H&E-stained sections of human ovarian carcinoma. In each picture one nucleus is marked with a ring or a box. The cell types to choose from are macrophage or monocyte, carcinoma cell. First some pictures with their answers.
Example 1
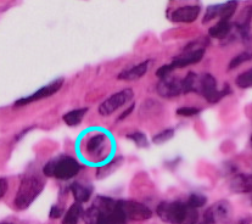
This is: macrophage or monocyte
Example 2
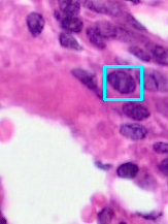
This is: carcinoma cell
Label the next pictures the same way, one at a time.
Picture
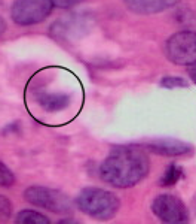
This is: macrophage or monocyte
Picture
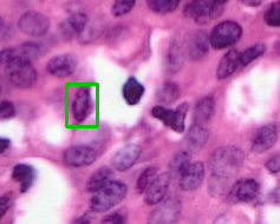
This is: carcinoma cell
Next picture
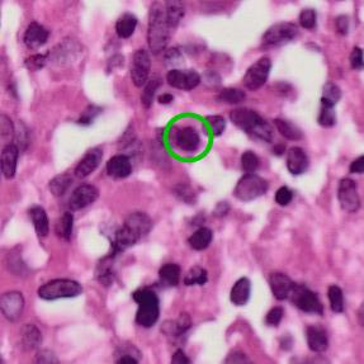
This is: carcinoma cell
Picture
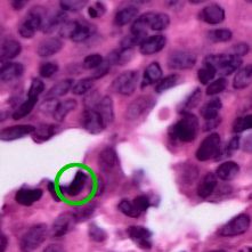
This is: carcinoma cell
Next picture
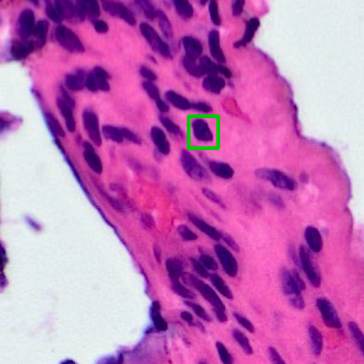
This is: macrophage or monocyte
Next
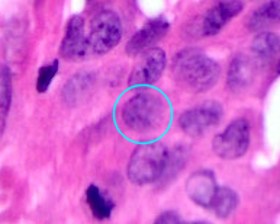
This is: carcinoma cell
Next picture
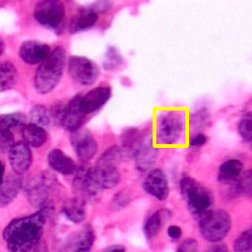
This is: macrophage or monocyte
